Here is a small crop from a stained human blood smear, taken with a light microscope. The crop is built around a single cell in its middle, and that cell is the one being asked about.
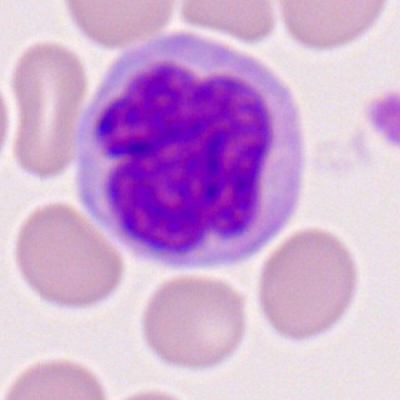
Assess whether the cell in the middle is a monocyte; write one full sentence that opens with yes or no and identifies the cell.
Yes, the cell positioned in the middle is a monocyte.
